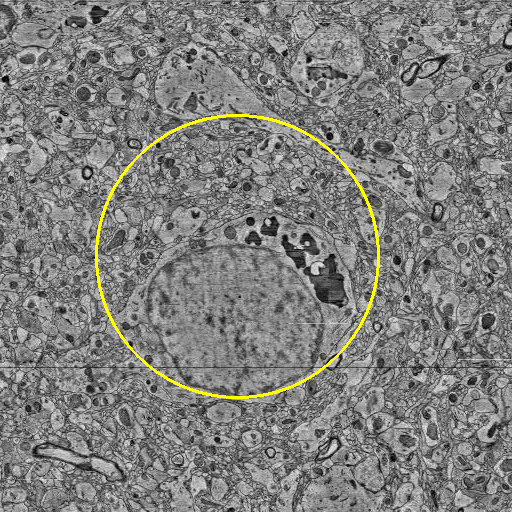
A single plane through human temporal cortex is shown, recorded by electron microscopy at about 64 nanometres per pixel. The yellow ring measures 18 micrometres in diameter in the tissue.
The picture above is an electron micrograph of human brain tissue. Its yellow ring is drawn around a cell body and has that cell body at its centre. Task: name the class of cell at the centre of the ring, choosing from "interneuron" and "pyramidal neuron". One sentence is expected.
The ring surrounds the body of an interneuron.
